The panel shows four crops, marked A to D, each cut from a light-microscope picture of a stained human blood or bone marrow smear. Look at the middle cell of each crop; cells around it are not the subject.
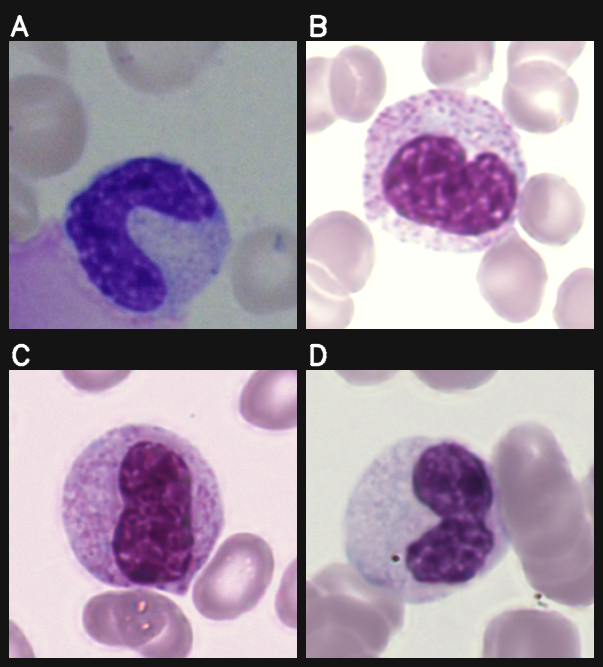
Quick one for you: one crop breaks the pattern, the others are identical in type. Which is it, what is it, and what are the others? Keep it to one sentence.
Crop C is singled out as a metamyelocyte, and all of the other crops show band neutrophils.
